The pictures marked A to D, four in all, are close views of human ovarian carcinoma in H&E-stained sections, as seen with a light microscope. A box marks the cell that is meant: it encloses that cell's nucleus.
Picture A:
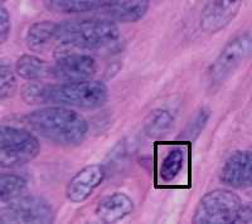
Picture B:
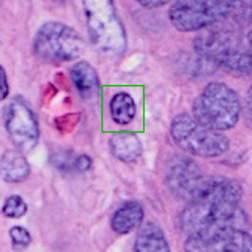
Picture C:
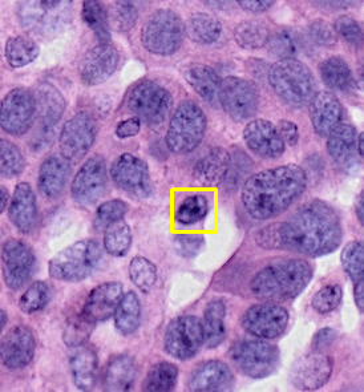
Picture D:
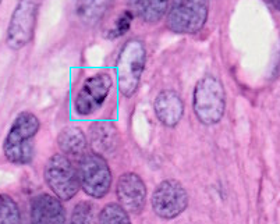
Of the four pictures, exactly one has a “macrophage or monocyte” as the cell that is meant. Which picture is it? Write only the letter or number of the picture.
D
